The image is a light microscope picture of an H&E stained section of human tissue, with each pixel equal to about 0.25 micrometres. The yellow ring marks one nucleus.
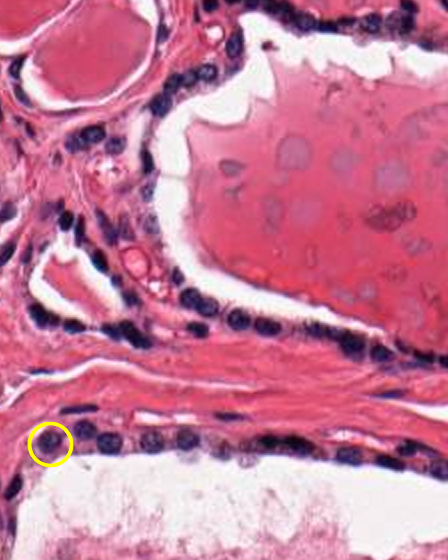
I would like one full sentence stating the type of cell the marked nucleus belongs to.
It is a thyroid follicular cell whose nucleus is marked.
